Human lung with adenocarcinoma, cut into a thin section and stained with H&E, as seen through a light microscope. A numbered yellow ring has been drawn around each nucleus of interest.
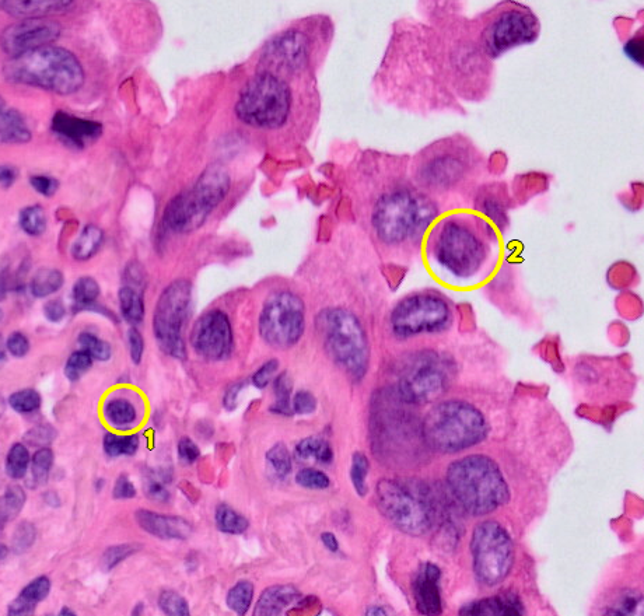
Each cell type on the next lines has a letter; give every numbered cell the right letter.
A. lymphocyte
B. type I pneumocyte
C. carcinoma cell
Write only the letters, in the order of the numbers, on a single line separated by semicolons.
A; C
